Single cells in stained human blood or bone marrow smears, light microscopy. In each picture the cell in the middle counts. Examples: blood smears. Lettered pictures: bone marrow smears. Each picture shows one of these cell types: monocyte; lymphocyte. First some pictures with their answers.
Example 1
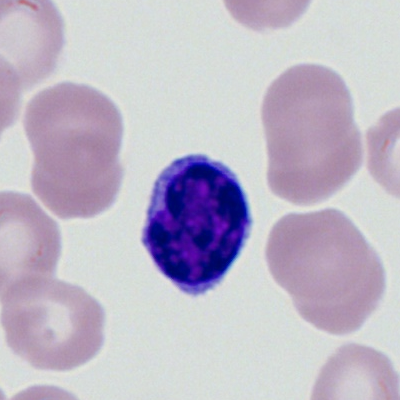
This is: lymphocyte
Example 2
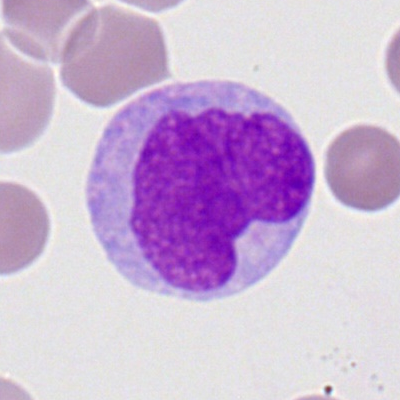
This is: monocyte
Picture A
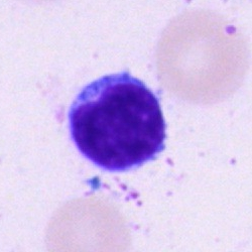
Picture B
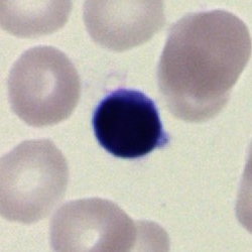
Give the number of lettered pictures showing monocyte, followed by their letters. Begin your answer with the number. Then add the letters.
0, none of them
